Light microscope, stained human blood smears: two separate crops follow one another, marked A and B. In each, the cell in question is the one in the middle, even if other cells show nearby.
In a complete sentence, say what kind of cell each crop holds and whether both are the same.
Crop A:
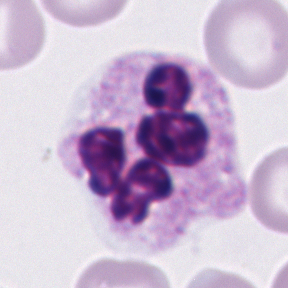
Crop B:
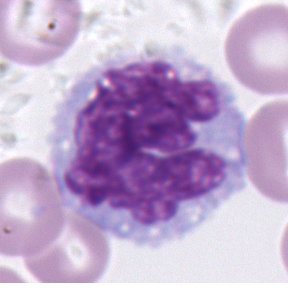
No, a neutrophil is the cell in crop A; a monocyte is the cell in crop B.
